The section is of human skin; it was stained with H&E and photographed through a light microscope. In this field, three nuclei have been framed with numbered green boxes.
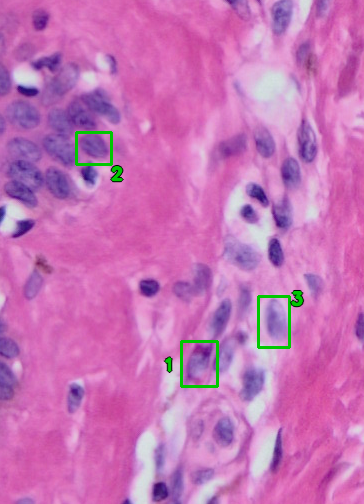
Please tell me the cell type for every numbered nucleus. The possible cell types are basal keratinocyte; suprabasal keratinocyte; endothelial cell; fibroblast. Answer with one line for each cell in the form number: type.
1: endothelial cell
2: basal keratinocyte
3: fibroblast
